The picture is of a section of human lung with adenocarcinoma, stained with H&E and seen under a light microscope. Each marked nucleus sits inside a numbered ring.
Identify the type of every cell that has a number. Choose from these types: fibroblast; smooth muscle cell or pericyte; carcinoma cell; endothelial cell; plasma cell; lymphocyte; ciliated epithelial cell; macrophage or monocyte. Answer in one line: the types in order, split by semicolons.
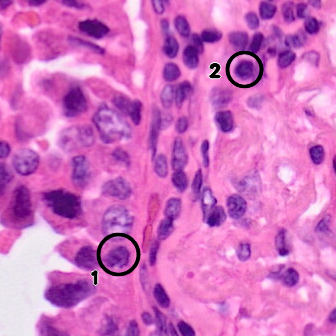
carcinoma cell; lymphocyte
